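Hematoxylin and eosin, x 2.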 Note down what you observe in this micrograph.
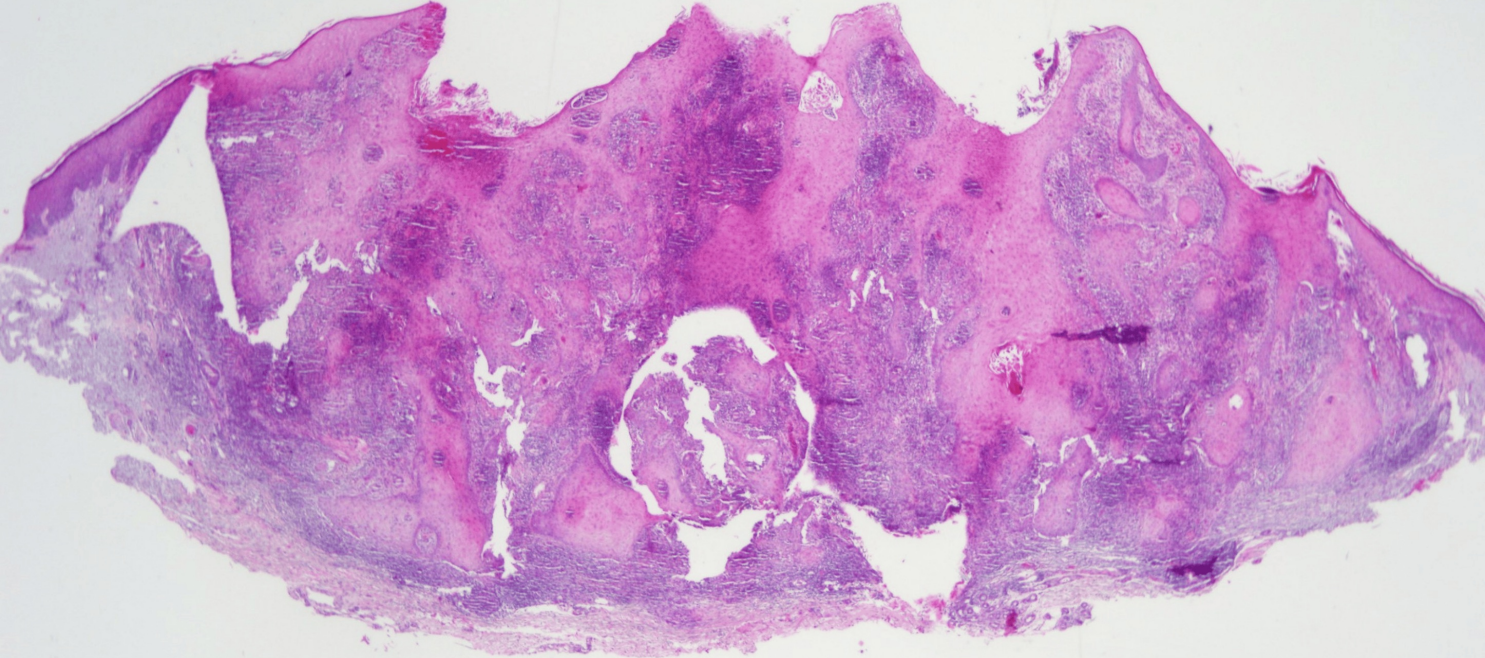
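Between and beneath these epithelial masses, the dermis is crowded with a dense purple inflammatory infiltrate, which is darker in several clustered foci. A paler, looser band of dermal connective tissue lies along the base of the specimen.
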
